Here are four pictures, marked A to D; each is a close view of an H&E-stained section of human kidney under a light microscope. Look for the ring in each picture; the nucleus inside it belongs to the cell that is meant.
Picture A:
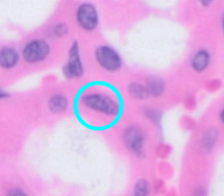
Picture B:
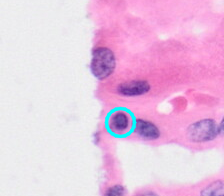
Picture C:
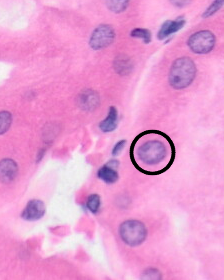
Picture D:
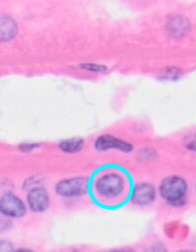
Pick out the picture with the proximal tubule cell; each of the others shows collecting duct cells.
C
